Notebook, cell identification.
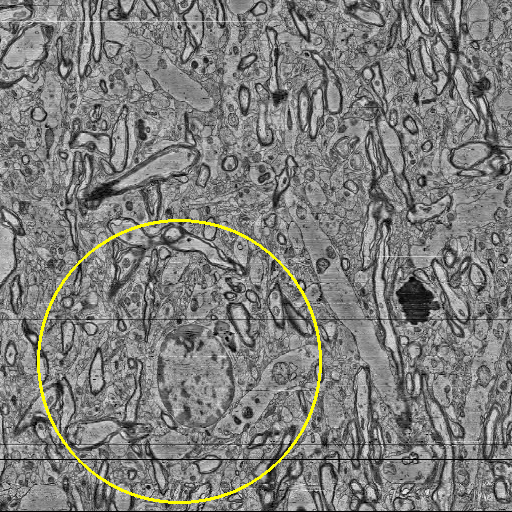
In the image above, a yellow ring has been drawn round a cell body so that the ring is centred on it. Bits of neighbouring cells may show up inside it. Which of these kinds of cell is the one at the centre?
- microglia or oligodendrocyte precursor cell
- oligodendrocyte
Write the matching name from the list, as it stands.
microglia or oligodendrocyte precursor cell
